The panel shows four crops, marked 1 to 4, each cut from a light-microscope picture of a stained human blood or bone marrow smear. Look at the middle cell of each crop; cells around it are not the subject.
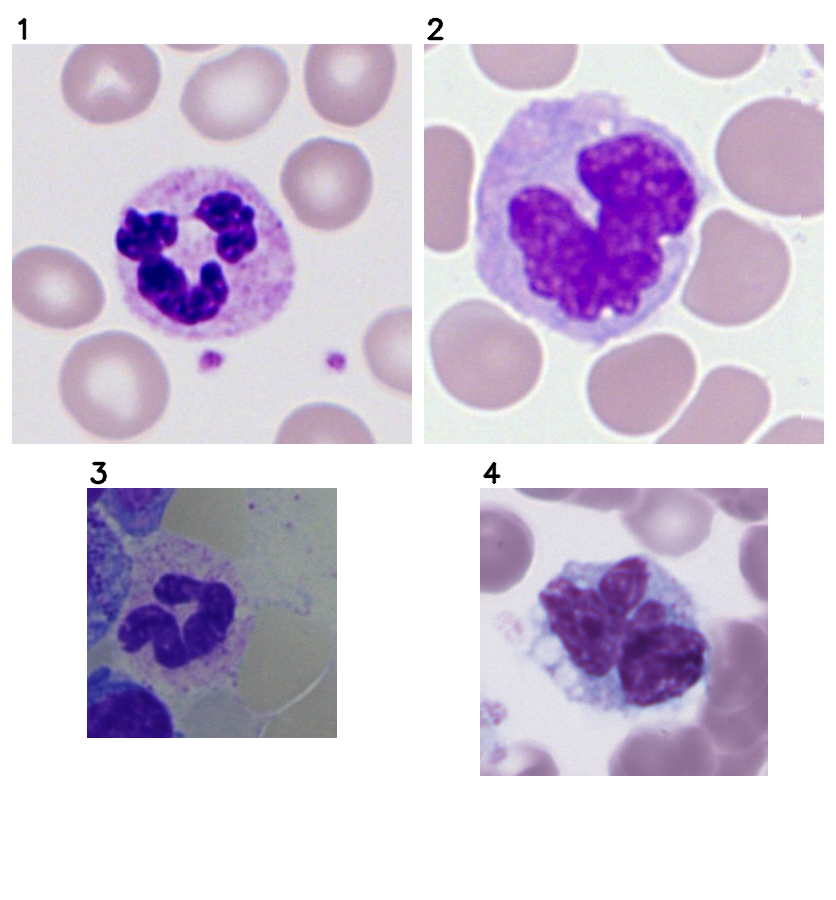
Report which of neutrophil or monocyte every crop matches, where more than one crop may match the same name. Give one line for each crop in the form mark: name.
1: neutrophil
2: monocyte
3: neutrophil
4: monocyte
